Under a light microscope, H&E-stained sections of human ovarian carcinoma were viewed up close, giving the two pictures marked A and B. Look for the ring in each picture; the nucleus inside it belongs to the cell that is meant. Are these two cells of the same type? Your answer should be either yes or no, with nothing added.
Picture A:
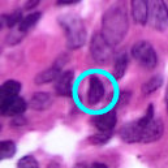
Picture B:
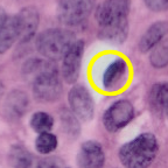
yes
